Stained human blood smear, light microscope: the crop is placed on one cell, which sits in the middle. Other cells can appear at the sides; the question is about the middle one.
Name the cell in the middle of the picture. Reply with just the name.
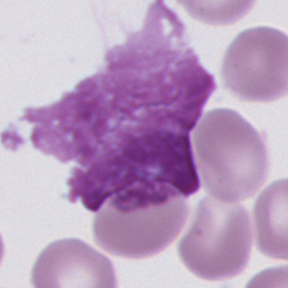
smudge cell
